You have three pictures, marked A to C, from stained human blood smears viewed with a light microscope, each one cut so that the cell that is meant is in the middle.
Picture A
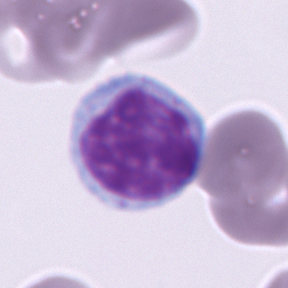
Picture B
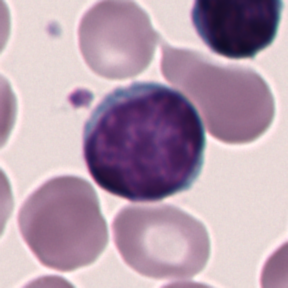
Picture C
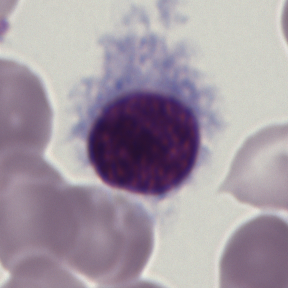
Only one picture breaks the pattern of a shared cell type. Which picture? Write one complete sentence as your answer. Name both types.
All pictures except C show typical lymphocytes; picture C shows a hairy cell.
